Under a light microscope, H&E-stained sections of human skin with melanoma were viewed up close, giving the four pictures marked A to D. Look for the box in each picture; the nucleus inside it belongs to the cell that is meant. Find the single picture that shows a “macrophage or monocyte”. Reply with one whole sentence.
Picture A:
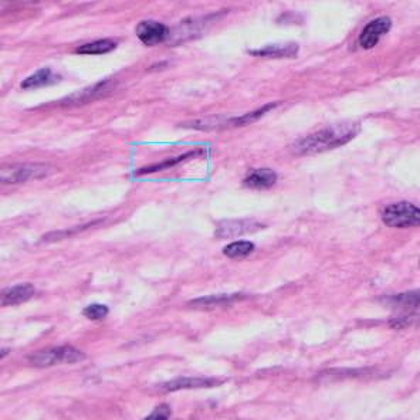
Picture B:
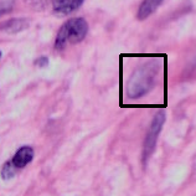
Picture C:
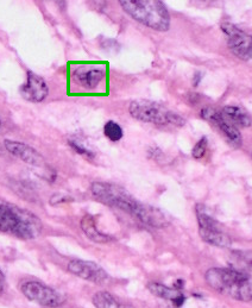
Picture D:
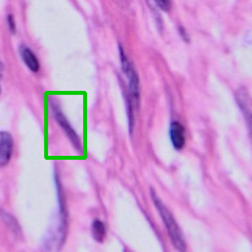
Picture C is the one that shows the “macrophage or monocyte”.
